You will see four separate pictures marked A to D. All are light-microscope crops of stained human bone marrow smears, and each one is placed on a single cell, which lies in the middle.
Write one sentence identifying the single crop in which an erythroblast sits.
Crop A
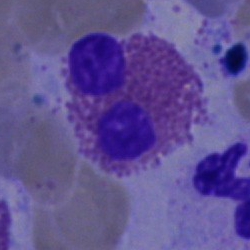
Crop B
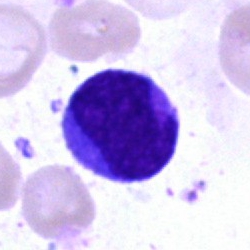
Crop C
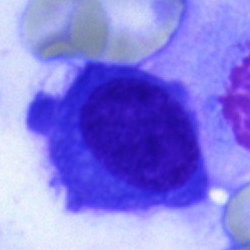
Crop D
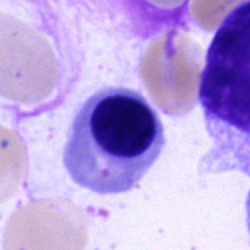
Crop D is the crop containing an erythroblast.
